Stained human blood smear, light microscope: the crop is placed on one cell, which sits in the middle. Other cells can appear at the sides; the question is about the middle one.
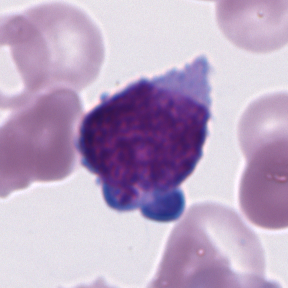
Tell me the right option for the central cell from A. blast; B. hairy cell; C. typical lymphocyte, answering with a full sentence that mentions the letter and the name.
It is a blast that occupies the centre of the crop, so option A is correct.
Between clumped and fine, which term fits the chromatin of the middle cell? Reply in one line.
Its chromatin is finely dispersed rather than coarsely clumped.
